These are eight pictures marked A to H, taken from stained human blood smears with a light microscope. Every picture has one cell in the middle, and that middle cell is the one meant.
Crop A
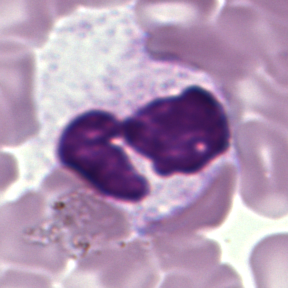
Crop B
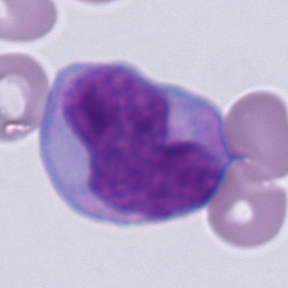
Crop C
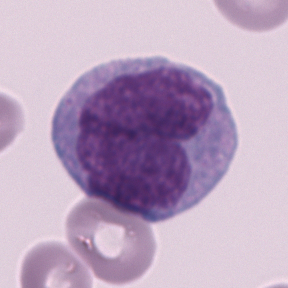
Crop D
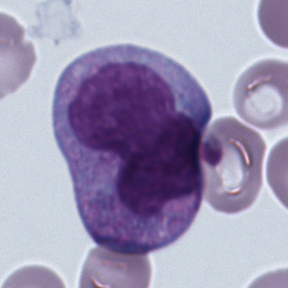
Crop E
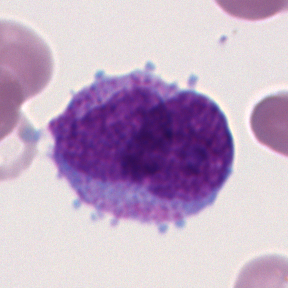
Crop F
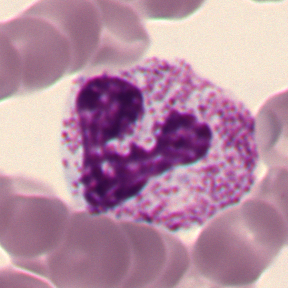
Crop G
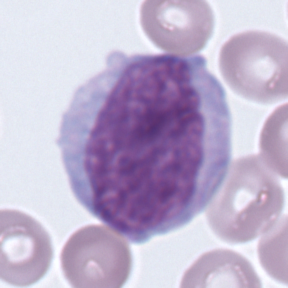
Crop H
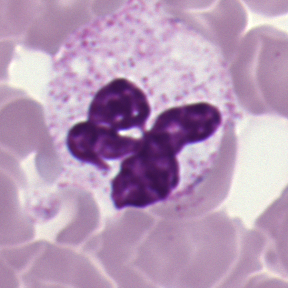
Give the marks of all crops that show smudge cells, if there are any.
none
